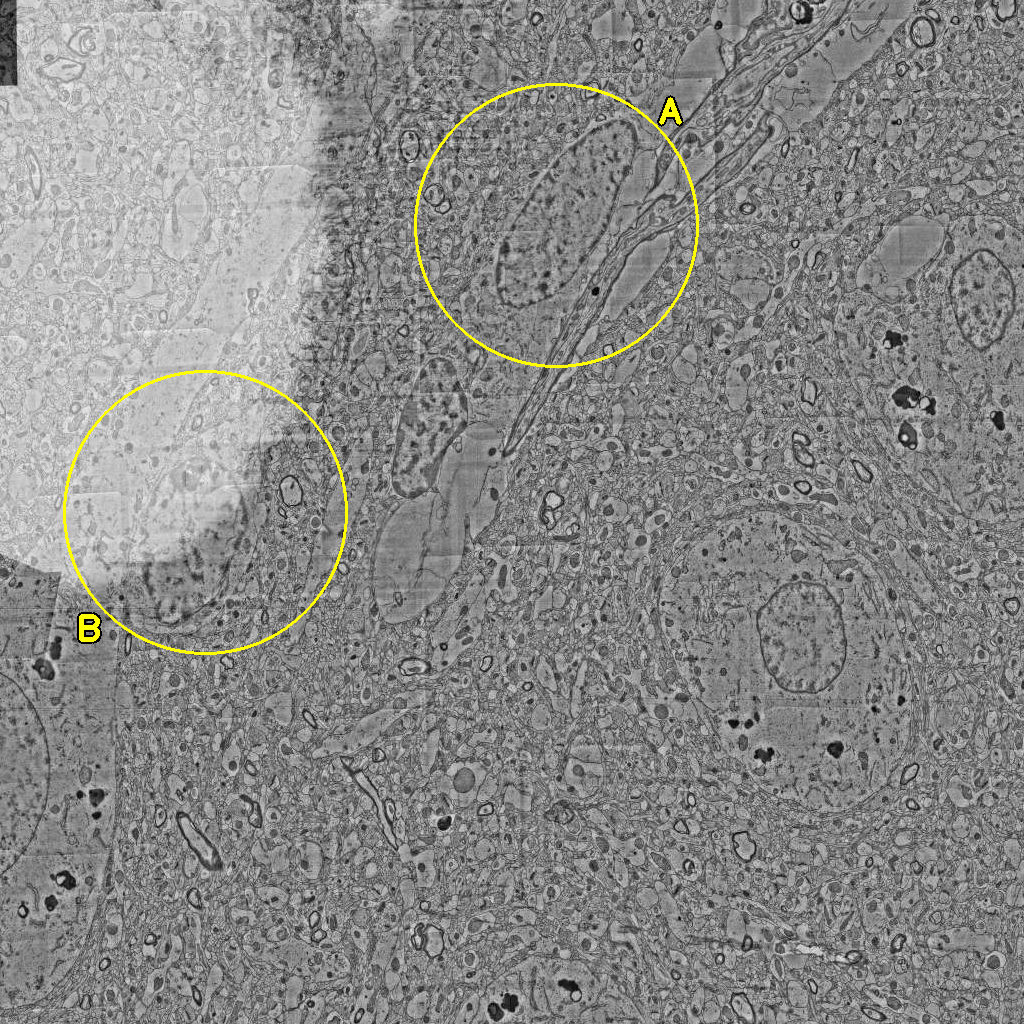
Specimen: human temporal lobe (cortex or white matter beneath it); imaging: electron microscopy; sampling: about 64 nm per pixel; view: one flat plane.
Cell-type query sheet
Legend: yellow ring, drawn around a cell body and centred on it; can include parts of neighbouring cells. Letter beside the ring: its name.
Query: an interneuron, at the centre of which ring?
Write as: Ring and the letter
Ring B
